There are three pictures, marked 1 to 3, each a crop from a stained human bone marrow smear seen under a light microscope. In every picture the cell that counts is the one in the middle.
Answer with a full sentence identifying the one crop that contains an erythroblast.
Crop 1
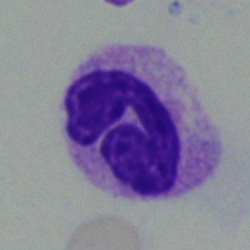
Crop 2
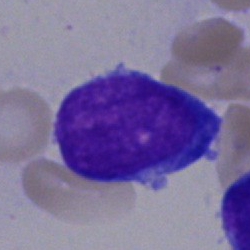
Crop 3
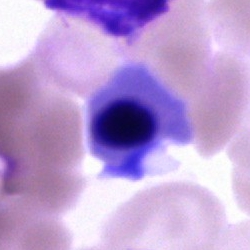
Crop 3 is where an erythroblast is to be found.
